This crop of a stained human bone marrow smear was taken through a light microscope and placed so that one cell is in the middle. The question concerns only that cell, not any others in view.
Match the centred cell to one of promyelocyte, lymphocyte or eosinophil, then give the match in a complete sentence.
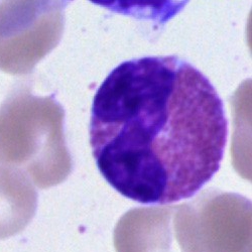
The crop centres on a single cell, and that cell is an eosinophil.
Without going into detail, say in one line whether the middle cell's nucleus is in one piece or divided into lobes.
We find a nucleus divided into at least two lobes.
